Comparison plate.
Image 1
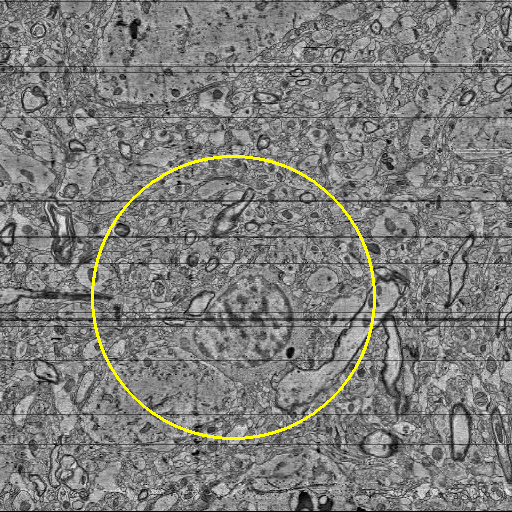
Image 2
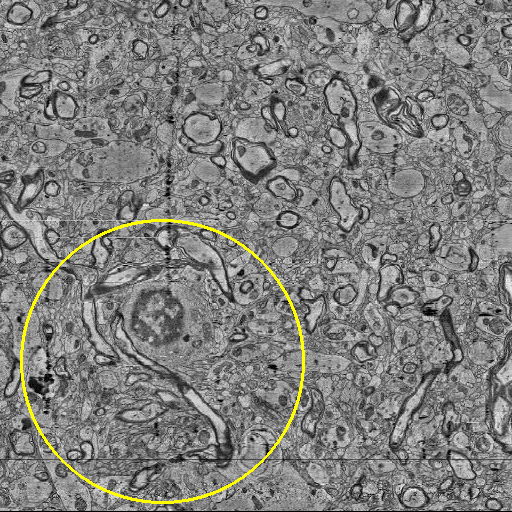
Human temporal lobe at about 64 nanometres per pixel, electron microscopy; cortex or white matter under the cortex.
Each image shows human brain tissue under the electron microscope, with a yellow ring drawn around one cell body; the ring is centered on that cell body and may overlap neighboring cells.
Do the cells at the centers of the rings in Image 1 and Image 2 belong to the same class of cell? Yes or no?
yes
